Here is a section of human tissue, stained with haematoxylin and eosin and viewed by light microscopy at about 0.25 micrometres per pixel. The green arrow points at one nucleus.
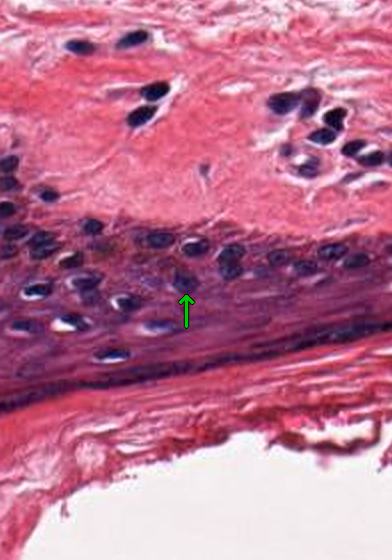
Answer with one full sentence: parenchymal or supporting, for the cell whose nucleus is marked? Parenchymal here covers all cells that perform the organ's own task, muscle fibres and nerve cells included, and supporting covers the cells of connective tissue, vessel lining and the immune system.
The marked nucleus, belonging to a parenchymal cell, is that of a keratinocyte.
